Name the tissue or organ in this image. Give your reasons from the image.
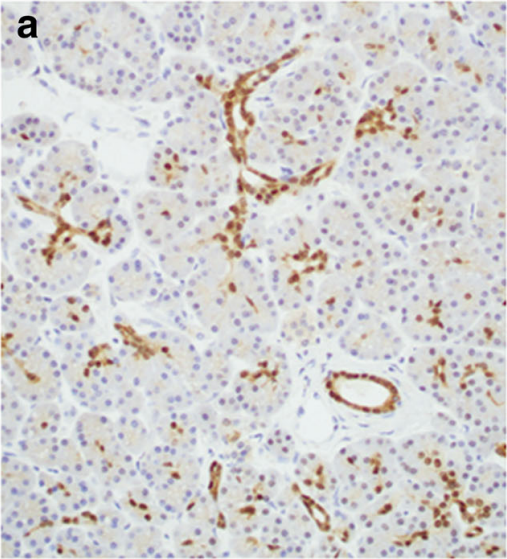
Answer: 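Pancreas. Rounded clusters of pyramidal cells with basal round nuclei form acini. Small branching ducts with brown-stained nuclei run between the acini.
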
